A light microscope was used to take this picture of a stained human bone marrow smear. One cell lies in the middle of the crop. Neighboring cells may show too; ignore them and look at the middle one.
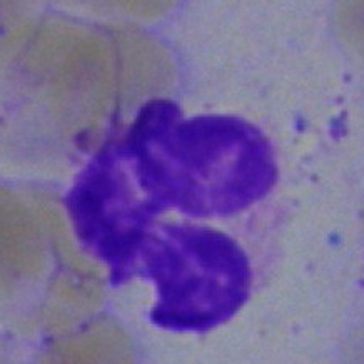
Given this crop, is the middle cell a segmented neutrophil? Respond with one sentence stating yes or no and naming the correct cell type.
Yes, in this crop the cell in the middle is a segmented neutrophil.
